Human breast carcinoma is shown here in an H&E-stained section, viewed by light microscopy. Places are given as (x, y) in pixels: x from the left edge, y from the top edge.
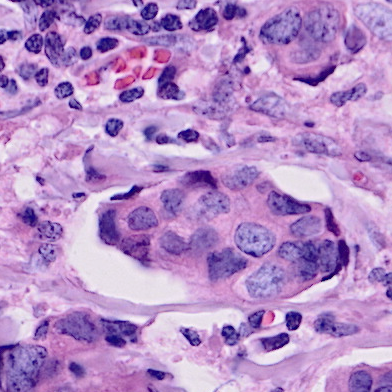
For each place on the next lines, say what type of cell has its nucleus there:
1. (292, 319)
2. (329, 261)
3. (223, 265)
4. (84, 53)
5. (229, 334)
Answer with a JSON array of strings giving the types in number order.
["lymphocyte", "carcinoma cell", "carcinoma cell", "lymphocyte", "lymphocyte"]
